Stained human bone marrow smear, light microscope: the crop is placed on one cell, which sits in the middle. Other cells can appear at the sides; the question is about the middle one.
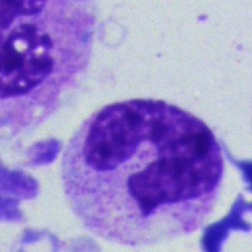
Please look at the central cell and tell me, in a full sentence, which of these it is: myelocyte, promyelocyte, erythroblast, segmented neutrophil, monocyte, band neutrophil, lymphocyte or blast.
In this smear crop, the middle cell is a band neutrophil.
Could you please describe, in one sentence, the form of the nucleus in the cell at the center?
A single compact nucleus, round, oval or kidney-shaped, is what this cell shows.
